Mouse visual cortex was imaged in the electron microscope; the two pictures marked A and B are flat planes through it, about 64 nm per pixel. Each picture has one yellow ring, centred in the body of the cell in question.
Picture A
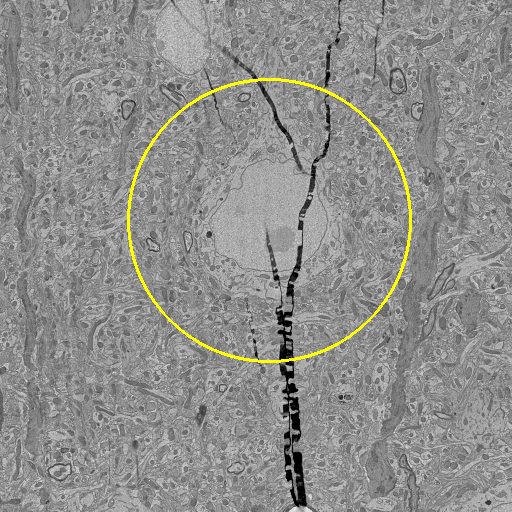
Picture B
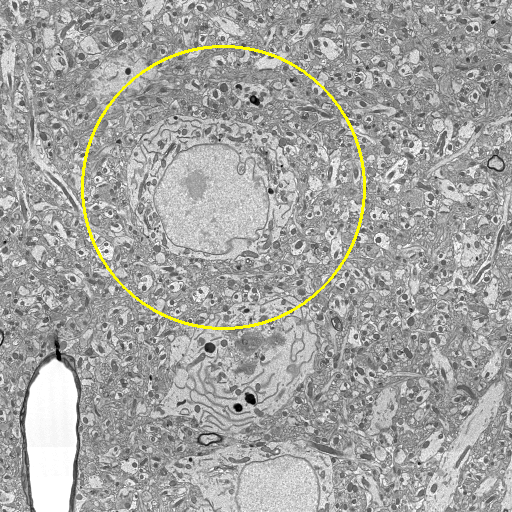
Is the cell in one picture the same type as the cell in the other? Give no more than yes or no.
no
